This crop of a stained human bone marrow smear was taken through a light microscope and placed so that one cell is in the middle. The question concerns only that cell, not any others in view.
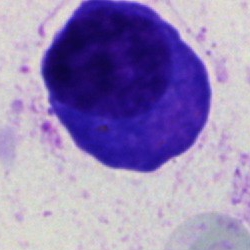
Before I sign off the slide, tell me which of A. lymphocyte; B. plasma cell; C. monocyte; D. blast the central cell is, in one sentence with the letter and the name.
The cell in the middle is correctly identified as a plasma cell in option B.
